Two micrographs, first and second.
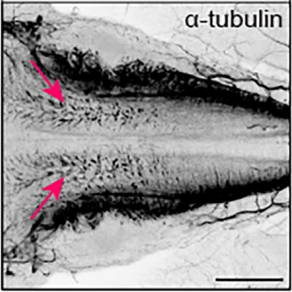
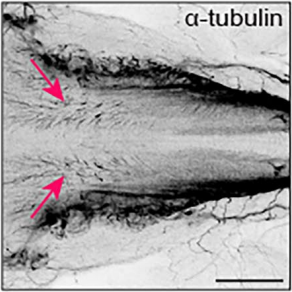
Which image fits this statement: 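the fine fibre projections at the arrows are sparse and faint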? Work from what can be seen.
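The second image. First image: the region at the arrows is densely dotted with dark fibre projections.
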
